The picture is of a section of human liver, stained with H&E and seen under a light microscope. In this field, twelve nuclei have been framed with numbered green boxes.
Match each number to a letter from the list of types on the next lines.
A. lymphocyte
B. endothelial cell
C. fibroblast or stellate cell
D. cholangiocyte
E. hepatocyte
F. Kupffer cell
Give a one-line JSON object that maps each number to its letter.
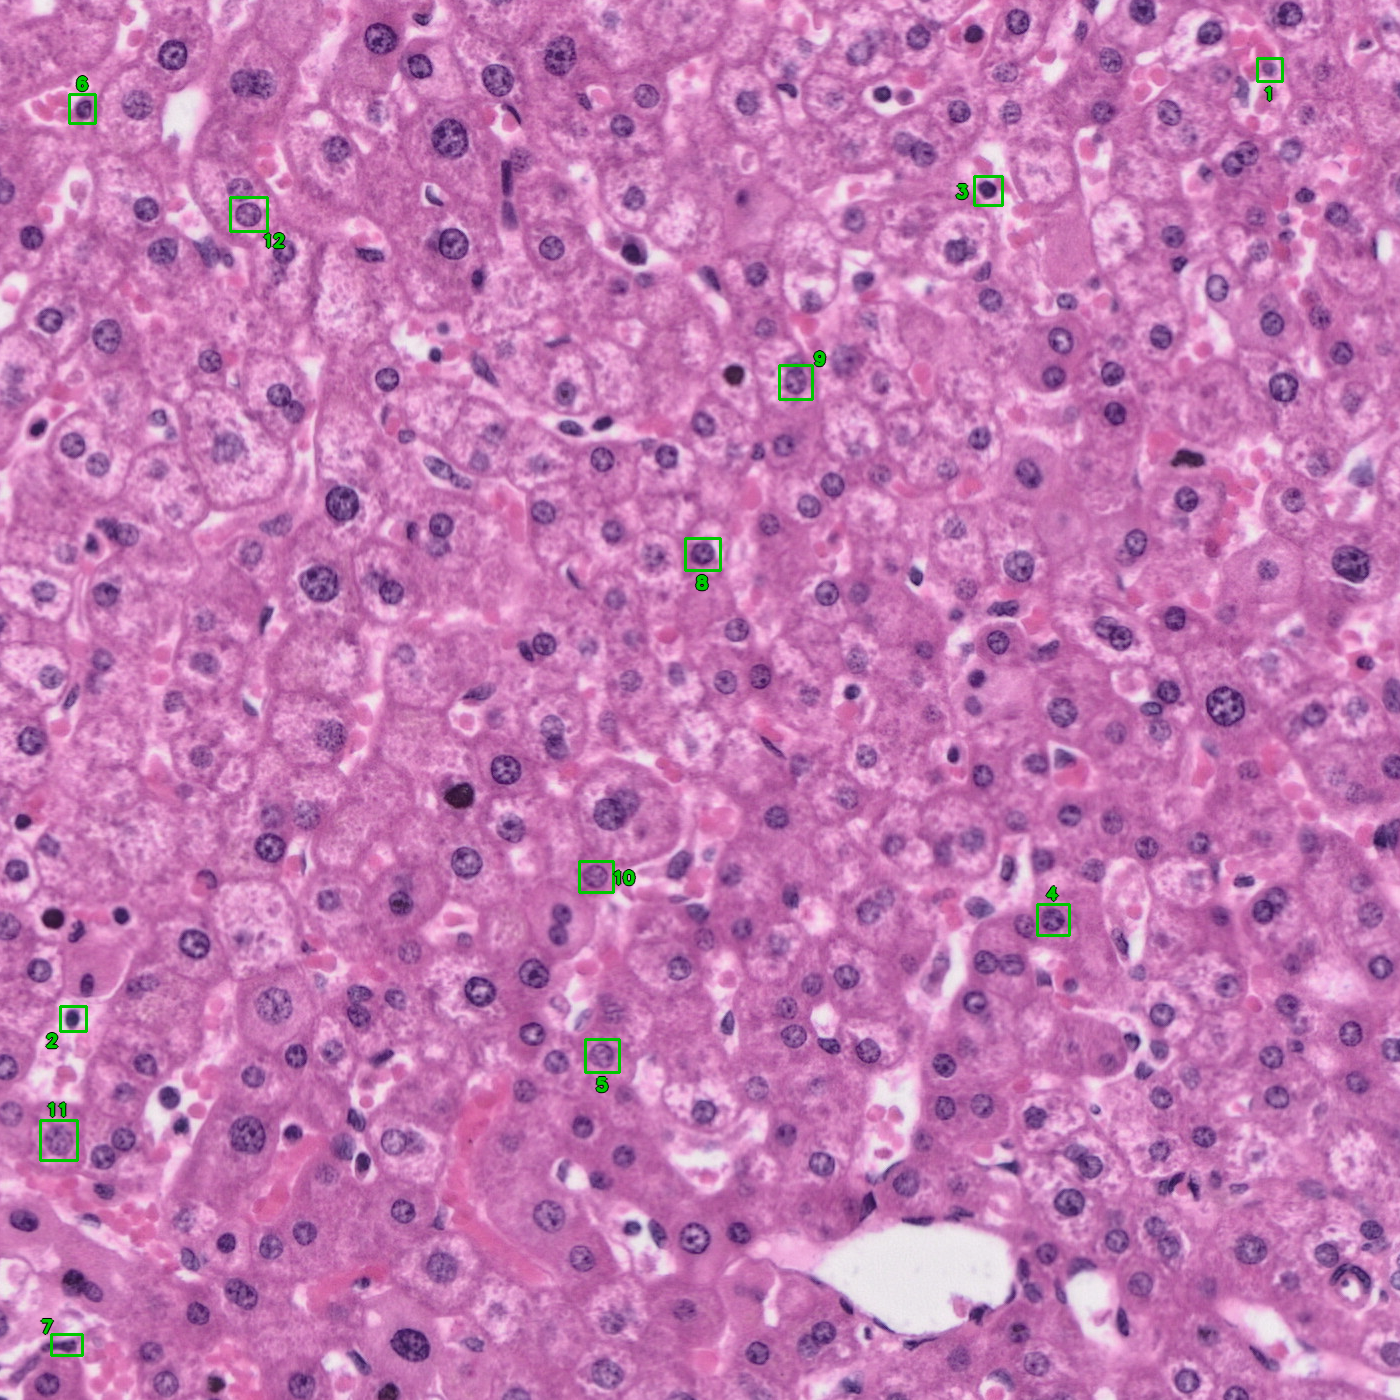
{"1": "A", "2": "A", "3": "A", "4": "E", "5": "E", "6": "F", "7": "C", "8": "E", "9": "E", "10": "E", "11": "E", "12": "E"}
